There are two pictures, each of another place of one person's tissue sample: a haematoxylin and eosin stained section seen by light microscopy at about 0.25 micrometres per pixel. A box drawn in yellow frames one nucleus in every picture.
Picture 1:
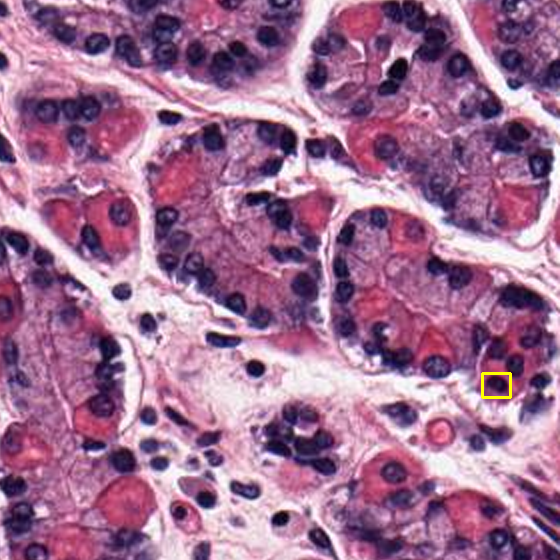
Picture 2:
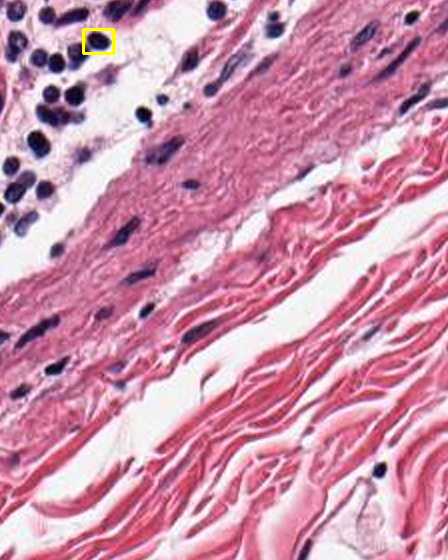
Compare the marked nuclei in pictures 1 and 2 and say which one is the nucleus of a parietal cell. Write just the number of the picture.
1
